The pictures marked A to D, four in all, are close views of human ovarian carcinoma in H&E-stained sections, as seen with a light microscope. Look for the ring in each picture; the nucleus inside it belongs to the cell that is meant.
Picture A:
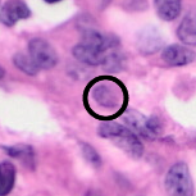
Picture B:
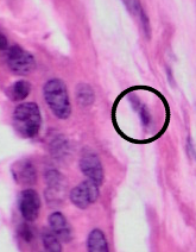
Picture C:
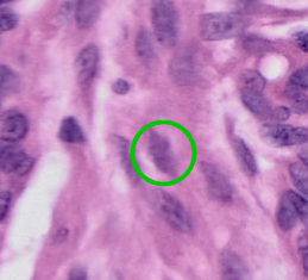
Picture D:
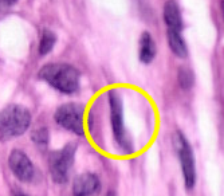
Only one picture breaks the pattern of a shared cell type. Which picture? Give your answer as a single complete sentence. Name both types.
The others show fibroblasts, but picture A shows a “macrophage or monocyte”.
